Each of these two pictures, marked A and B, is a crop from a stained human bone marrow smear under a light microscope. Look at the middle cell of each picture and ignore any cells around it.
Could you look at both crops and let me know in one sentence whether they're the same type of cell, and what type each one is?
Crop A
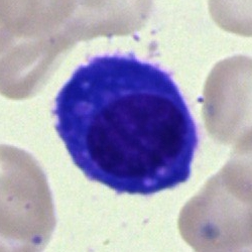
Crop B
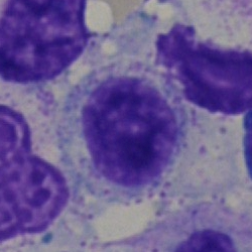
No, the cell shown in crop A is a plasma cell, and the cell shown in crop B is a myelocyte.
